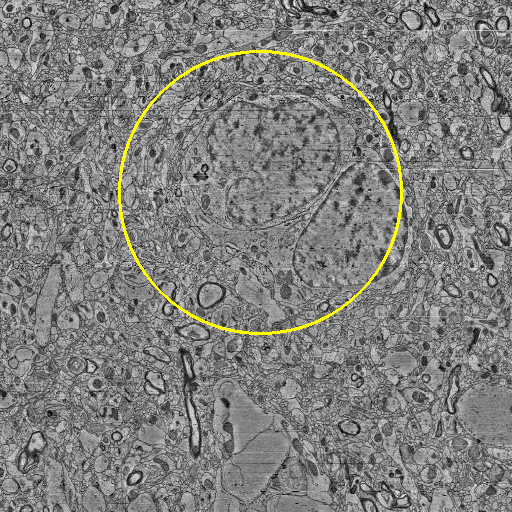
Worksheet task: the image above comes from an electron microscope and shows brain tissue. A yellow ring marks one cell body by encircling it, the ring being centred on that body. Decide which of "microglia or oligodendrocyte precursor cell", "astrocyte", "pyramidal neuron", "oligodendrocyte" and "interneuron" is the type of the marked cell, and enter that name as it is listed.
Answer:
interneuron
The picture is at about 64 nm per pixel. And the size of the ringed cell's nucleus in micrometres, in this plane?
In this plane the ringed cell's nucleus is roughly 8 micrometres across.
